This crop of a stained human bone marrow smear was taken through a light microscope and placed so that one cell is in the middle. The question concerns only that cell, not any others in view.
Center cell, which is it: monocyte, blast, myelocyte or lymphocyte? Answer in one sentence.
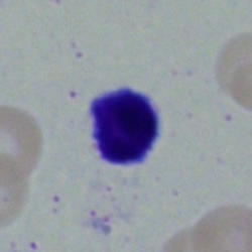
In the center of this field lies a lymphocyte.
